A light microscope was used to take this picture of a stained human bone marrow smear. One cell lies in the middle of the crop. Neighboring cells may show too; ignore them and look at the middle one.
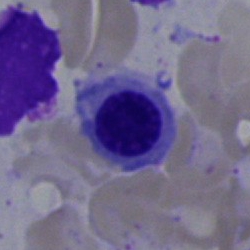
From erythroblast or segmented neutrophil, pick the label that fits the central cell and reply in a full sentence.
The cell found in the middle of this crop is an erythroblast.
